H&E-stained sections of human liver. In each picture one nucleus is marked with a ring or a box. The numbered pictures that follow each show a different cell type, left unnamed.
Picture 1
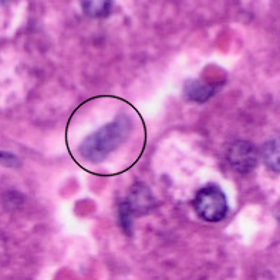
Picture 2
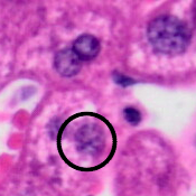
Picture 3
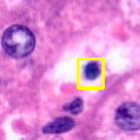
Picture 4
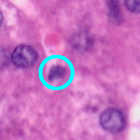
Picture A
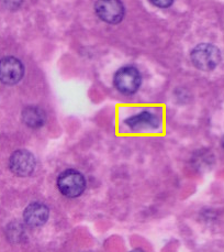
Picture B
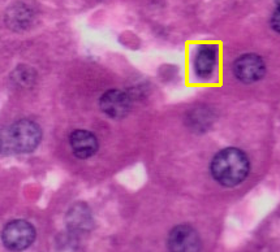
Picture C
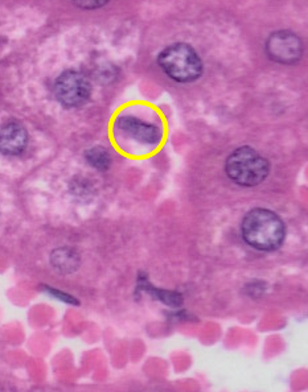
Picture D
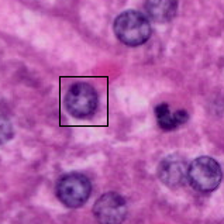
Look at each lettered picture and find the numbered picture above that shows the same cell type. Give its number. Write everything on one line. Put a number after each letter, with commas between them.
A 4, B 1, C 1, D 2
